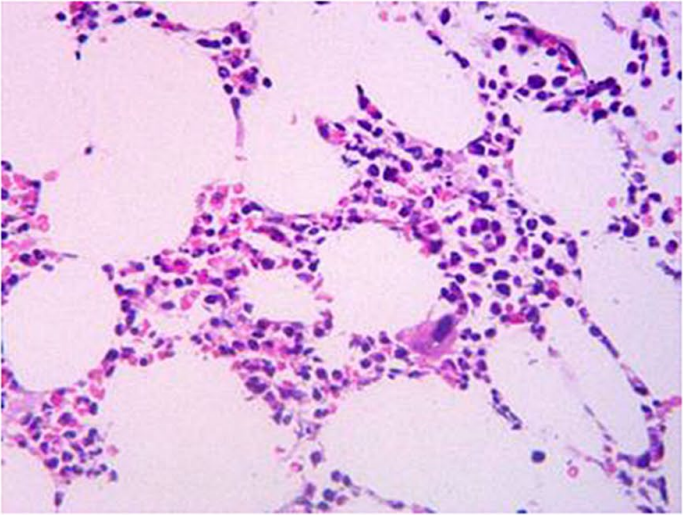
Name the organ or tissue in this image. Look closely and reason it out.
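Large round empty fat spaces separate cords of packed hematopoietic cells. Mixed small nucleated cells with pink and purple staining fill the spaces between the fat. A large cell with abundant pink cytoplasm lies among the smaller cells. So: bone marrow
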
